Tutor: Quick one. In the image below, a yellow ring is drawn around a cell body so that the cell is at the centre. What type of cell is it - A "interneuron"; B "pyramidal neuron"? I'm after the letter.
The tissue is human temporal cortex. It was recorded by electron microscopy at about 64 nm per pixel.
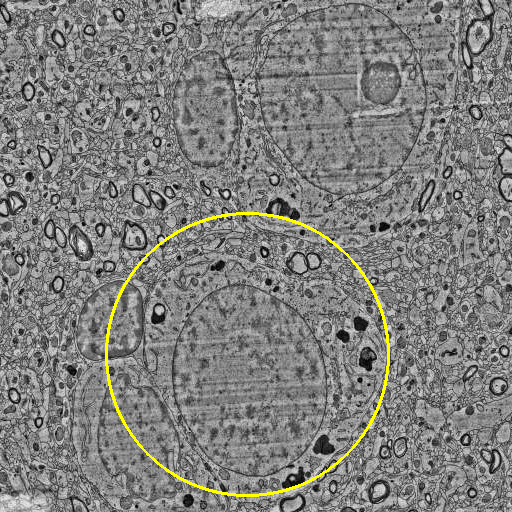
B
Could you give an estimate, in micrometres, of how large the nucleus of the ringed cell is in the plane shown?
The nucleus works out at approximately 12 by 10 micrometres in this plane.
